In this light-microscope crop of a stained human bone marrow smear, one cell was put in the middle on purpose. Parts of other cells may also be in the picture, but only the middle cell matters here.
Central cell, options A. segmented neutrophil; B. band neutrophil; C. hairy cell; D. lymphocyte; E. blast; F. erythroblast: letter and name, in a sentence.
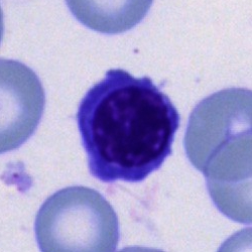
In this crop the middle cell is an erythroblast, so option F is the correct answer.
